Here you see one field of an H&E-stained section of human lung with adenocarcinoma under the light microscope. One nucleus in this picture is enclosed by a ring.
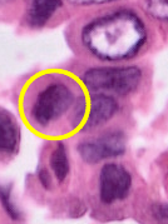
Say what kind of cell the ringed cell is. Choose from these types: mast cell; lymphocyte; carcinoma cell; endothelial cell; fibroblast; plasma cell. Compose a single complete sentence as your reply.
Assigned to a cell type, the ringed cell is a carcinoma cell.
